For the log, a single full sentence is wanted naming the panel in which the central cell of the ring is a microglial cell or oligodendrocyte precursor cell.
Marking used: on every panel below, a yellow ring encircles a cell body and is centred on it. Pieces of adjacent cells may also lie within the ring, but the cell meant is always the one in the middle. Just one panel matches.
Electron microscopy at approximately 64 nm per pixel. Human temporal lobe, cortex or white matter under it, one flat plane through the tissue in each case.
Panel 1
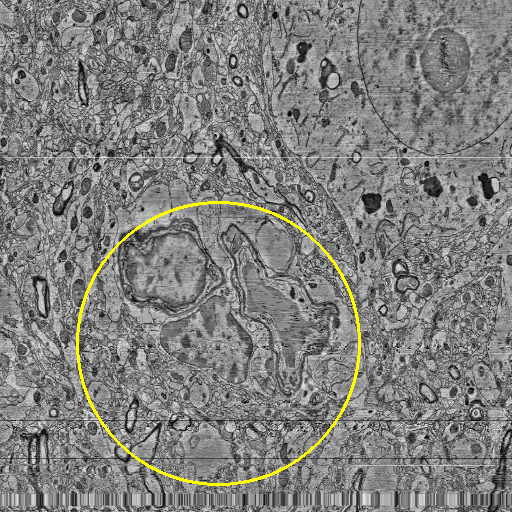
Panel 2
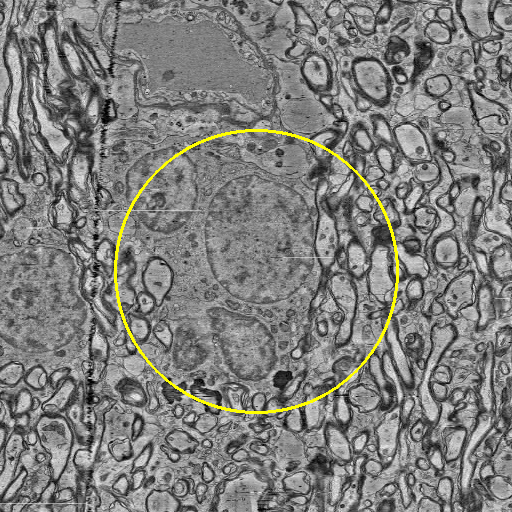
The cell in the middle of the ring in panel 1 is the one asked for.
